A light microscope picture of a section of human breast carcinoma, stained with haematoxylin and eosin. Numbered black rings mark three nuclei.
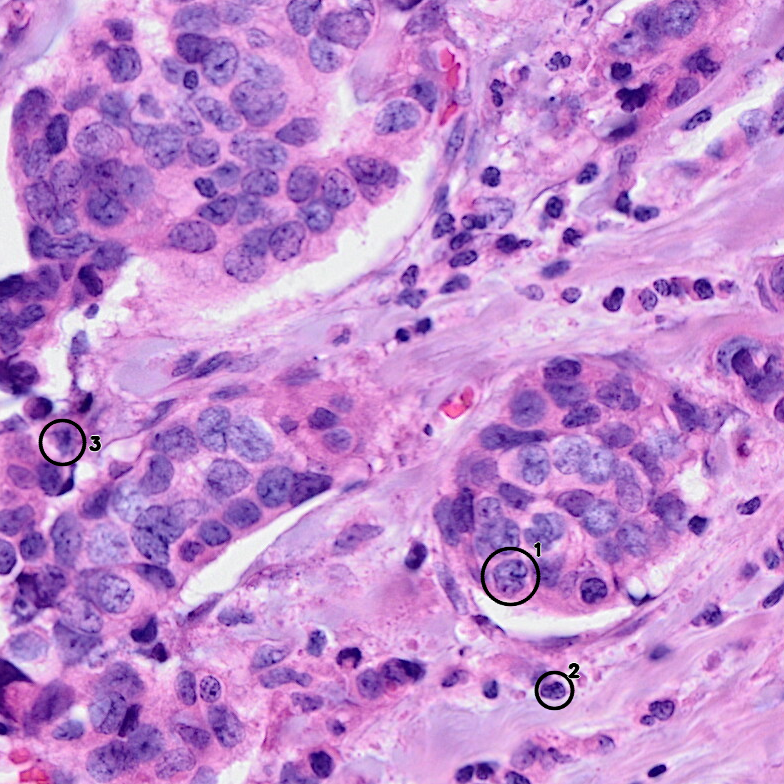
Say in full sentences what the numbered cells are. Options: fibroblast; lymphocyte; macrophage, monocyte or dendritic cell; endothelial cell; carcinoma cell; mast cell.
Cells 1 and 3 are carcinoma cells. Cell 2 is a lymphocyte.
